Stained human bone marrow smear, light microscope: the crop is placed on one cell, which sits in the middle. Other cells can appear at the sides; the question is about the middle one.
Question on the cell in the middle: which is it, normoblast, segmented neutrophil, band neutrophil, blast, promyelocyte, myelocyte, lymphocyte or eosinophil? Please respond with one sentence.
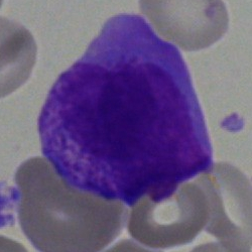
What the crop centres on is a blast.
